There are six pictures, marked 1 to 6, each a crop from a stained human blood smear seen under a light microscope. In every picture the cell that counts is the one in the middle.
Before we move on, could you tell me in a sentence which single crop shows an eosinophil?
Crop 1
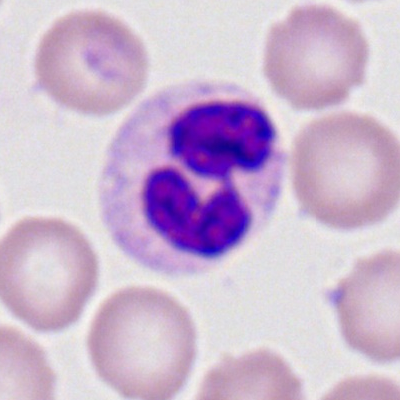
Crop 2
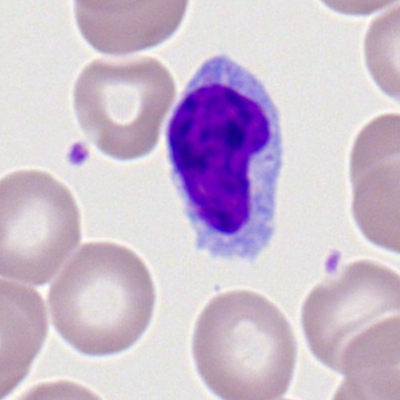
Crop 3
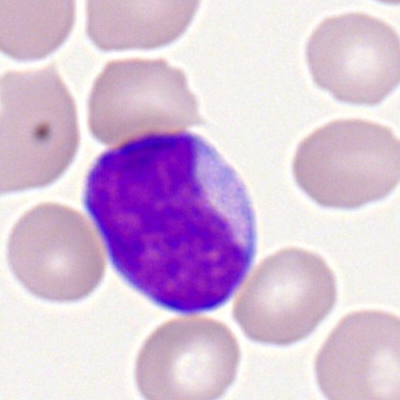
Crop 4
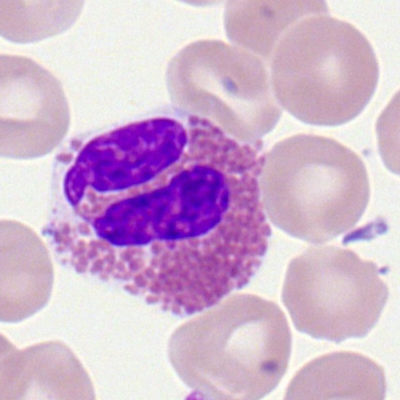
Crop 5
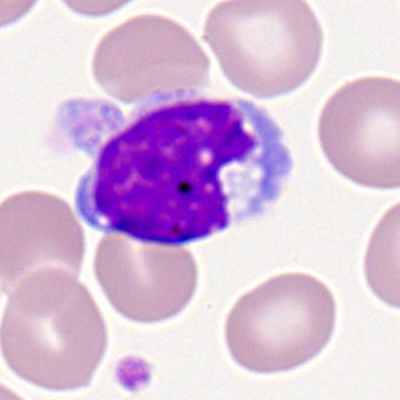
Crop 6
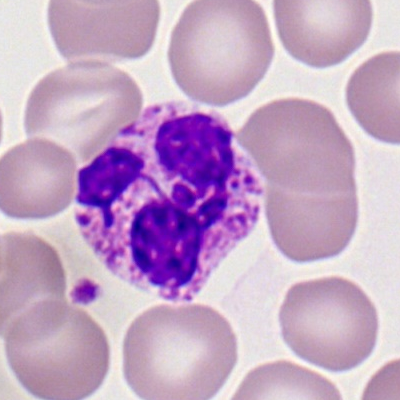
As for which crop shows an eosinophil, it is crop 4.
